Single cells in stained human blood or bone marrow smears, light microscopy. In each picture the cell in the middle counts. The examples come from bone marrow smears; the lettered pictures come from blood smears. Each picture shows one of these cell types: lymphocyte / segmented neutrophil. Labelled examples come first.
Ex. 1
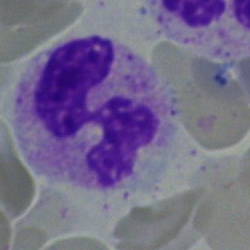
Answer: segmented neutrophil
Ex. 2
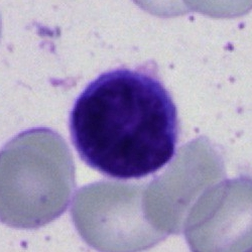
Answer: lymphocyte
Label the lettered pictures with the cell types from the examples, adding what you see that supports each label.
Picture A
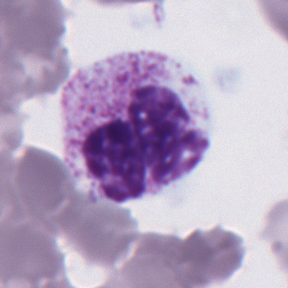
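segmented neutrophil. The cytoplasm behind the granules is pale and almost colourless.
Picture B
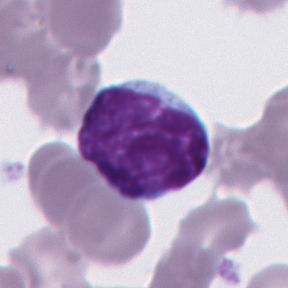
lymphocyte. The cytoplasm is a narrow rim that is widest along the top edge of the cell.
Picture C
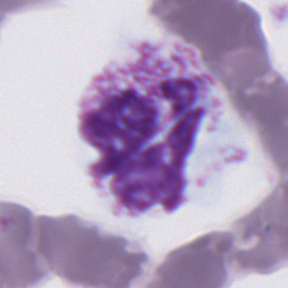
segmented neutrophil. The cytoplasm between the granules is almost colourless.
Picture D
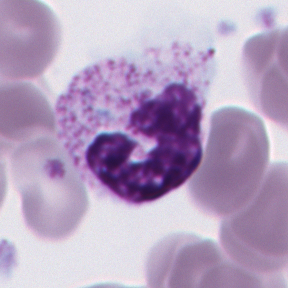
segmented neutrophil. The cytoplasm holds many discrete pink-purple granules.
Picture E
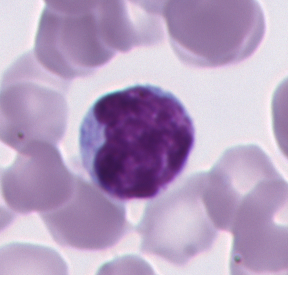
lymphocyte. The cytoplasm forms a thin rim that is widest on the left side.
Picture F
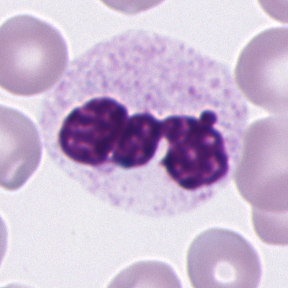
segmented neutrophil. The nucleus is divided into three lobes lying in a horizontal row.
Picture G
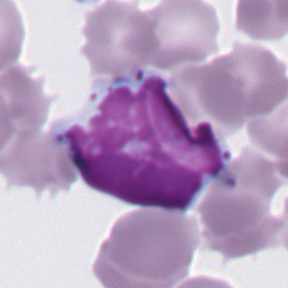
lymphocyte. The nucleus fills almost the whole cell.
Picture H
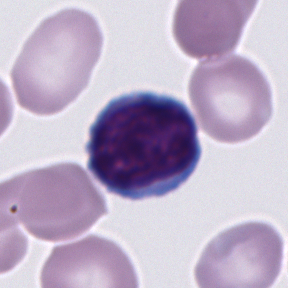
lymphocyte. The cytoplasm is blue.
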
